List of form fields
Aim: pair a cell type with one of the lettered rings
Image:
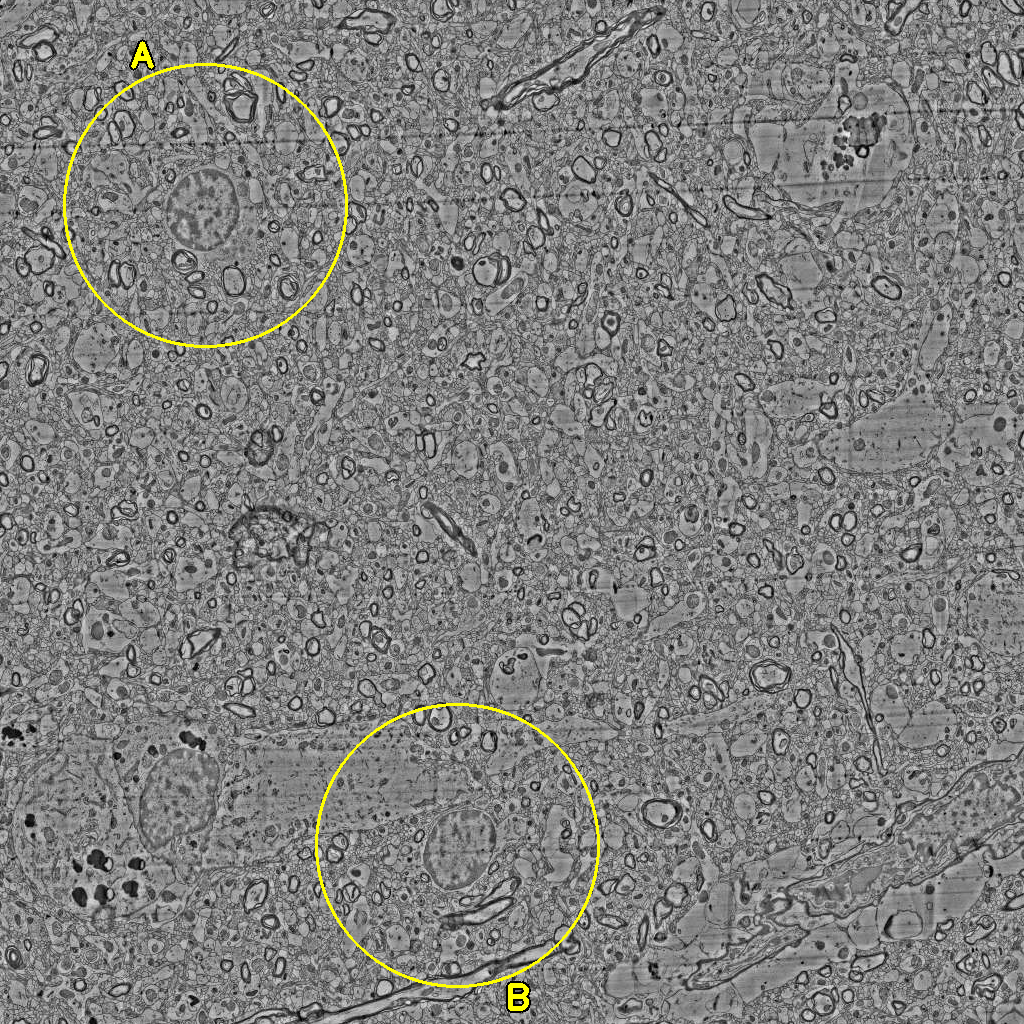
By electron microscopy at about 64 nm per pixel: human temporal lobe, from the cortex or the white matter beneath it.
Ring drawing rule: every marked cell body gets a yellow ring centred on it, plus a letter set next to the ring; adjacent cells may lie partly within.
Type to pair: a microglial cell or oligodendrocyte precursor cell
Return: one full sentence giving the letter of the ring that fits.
Ring B is the one whose central cell body is that kind of cell.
